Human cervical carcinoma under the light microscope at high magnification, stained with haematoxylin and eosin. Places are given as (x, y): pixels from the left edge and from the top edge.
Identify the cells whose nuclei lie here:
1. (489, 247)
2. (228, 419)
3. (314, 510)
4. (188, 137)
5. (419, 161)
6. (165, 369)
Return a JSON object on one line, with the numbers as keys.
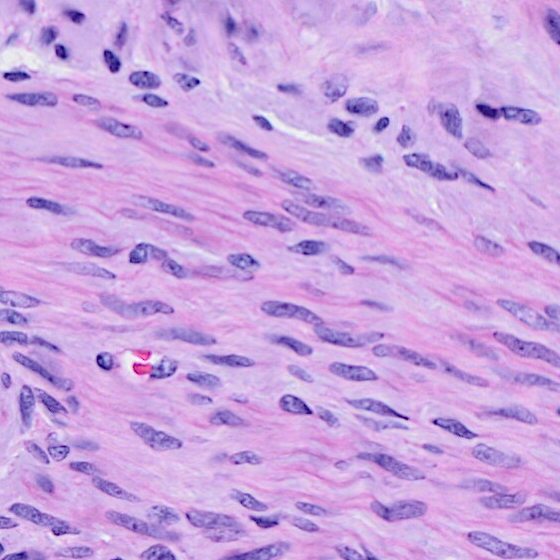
{"1": "smooth muscle cell", "2": "smooth muscle cell", "3": "smooth muscle cell", "4": "smooth muscle cell", "5": "fibroblast", "6": "endothelial cell"}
